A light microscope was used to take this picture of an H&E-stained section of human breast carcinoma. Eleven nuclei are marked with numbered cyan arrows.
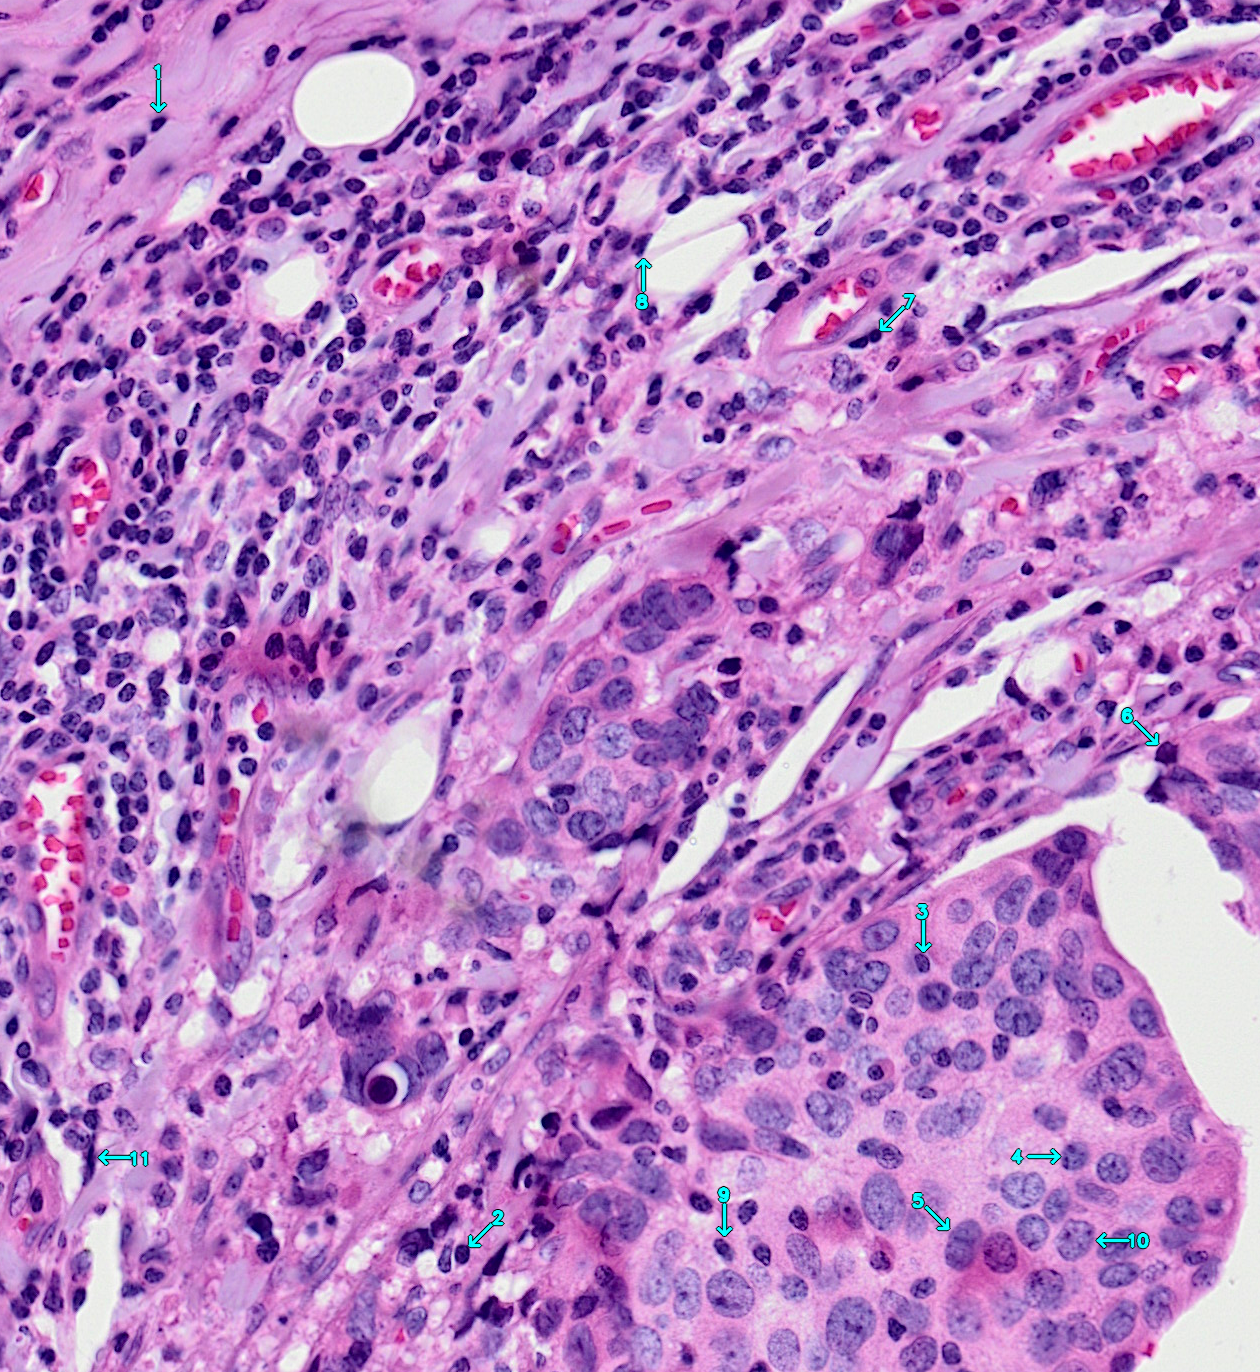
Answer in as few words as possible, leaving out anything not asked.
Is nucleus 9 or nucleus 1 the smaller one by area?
1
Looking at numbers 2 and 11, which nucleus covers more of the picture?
11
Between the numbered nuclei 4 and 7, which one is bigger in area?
4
